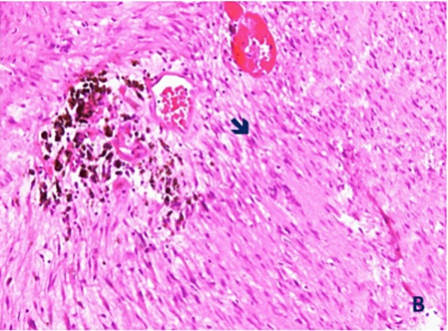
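Interlacing spindle cells with elongated, wavy nuclei lie in a pink fibrillary background, beside thin-walled vessels filled with red blood cells. Next to one vessel lies a clump of coarse dark brown to black granular pigment.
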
